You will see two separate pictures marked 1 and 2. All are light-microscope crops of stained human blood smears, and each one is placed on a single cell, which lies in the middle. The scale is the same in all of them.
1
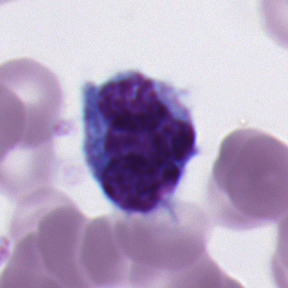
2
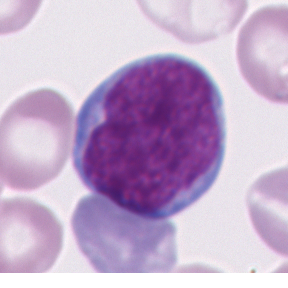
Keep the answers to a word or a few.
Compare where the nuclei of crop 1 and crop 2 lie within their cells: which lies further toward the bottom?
1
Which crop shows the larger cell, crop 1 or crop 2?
2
